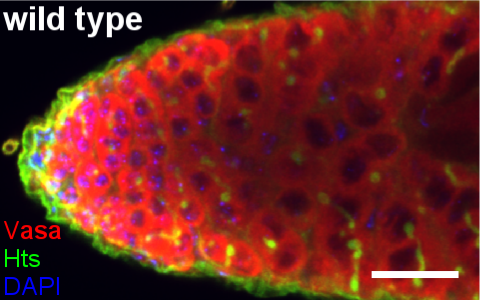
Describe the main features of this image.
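Apical part of a testis filled with developing germ cells. At the rounded left tip the cells are small and densely packed, with bright blue nuclei and red cytoplasm; further right the red cells become progressively larger and rounder, each with a large dark, weakly stained nucleus, and lie in clusters. Red cytoplasm fills most of the tube. A thin green layer lines the outer surface, brightest at the tip, and small green dots and short bars lie scattered between the germ cells. Occasional small blue nuclei lie between the clusters.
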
